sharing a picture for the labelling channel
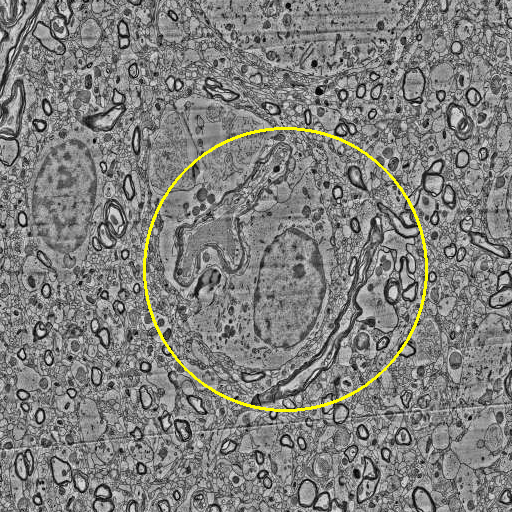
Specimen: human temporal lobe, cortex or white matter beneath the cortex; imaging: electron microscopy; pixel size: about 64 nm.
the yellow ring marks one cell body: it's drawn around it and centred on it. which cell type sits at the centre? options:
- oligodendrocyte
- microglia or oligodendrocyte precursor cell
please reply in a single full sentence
In the picture, the cell at the ring's centre is a microglial cell or oligodendrocyte precursor cell, going by the list.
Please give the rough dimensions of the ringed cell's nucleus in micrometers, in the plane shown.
In this plane, approximately 8 by 4 micrometers, and clearly longer than it is wide.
